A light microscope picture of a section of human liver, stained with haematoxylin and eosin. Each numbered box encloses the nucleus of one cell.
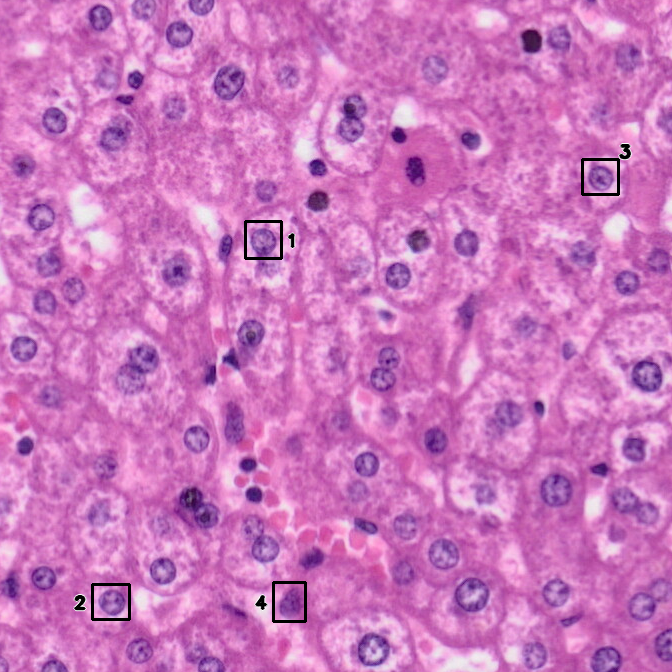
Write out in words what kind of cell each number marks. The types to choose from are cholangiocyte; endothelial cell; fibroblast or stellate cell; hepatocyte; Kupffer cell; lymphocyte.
Cells 1, 2 and 3 are hepatocytes. Cell 4 is a Kupffer cell.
